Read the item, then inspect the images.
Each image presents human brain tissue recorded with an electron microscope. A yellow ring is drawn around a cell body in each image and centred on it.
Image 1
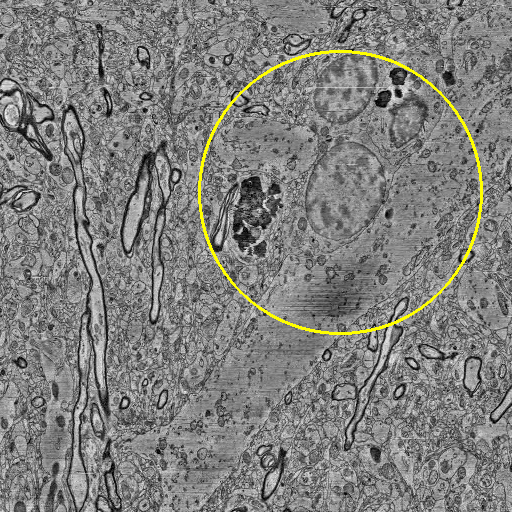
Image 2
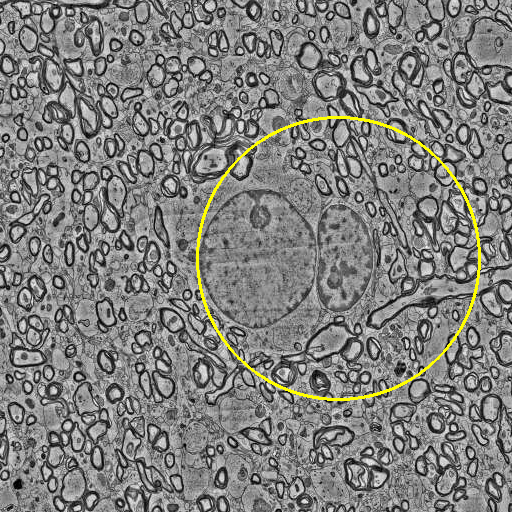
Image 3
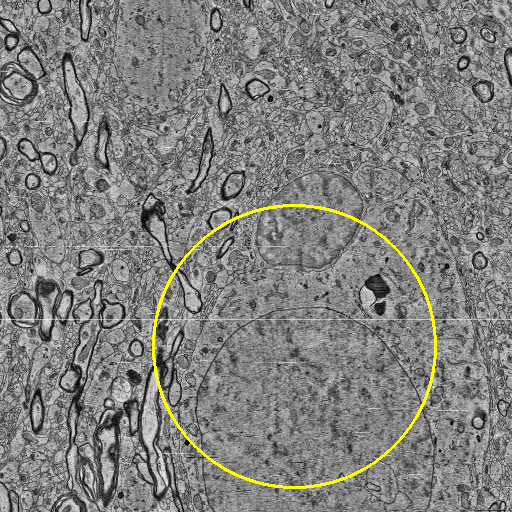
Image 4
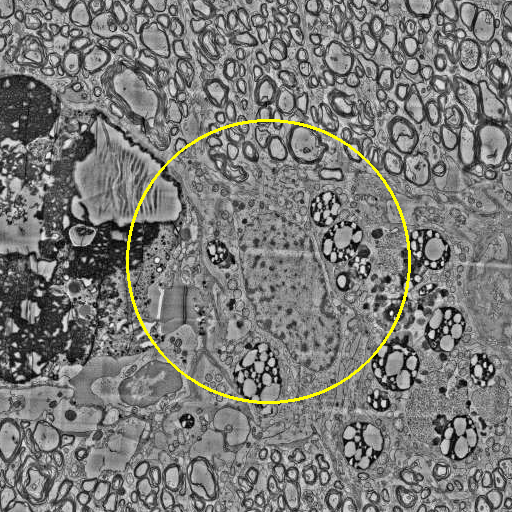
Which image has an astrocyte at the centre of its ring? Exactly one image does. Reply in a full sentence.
The ring in Image 4 is centred on it.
